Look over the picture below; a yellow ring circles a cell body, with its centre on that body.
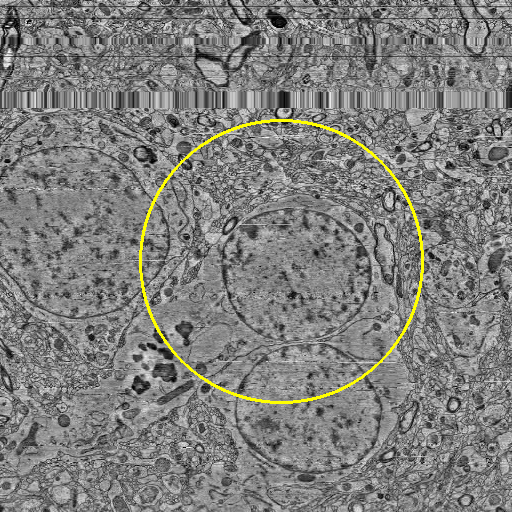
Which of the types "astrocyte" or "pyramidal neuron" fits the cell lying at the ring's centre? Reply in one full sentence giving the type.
The picture shows an astrocyte at the centre of the yellow ring.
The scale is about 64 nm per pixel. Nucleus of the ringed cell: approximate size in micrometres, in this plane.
In this plane, approximately 9 micrometres across.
